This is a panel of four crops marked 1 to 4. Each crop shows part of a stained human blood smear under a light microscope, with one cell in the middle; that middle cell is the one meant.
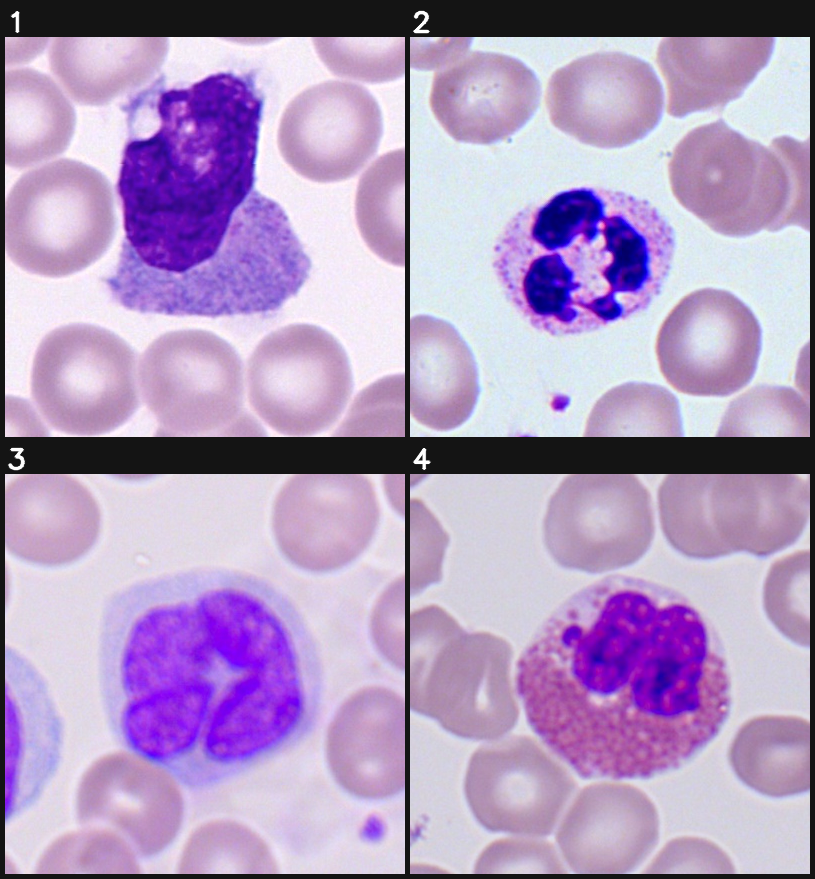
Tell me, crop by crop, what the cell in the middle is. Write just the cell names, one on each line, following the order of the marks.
monocyte
neutrophil
monocyte
eosinophil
